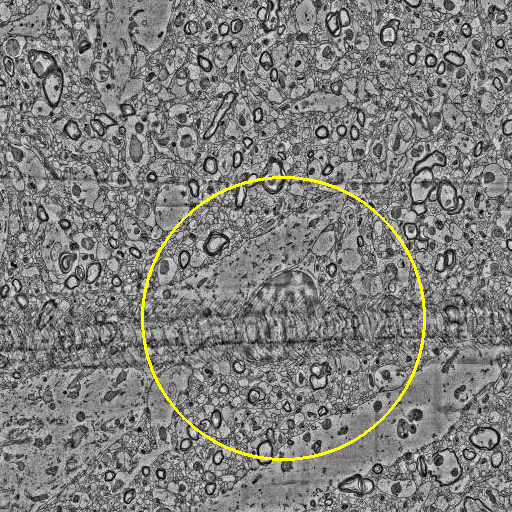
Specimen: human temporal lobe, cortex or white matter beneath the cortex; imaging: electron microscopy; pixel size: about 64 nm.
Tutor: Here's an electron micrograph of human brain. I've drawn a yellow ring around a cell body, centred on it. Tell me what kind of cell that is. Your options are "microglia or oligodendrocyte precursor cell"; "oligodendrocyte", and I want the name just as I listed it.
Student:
microglia or oligodendrocyte precursor cell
